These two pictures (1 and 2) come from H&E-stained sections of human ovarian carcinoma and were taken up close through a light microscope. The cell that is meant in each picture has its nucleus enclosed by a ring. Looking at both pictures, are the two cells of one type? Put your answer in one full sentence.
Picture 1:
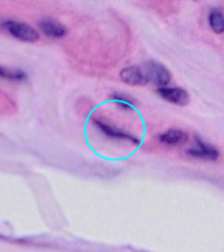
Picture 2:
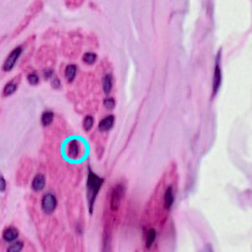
No; the cell in picture 1 is an endothelial cell, while the one in picture 2 is a smooth muscle cell.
